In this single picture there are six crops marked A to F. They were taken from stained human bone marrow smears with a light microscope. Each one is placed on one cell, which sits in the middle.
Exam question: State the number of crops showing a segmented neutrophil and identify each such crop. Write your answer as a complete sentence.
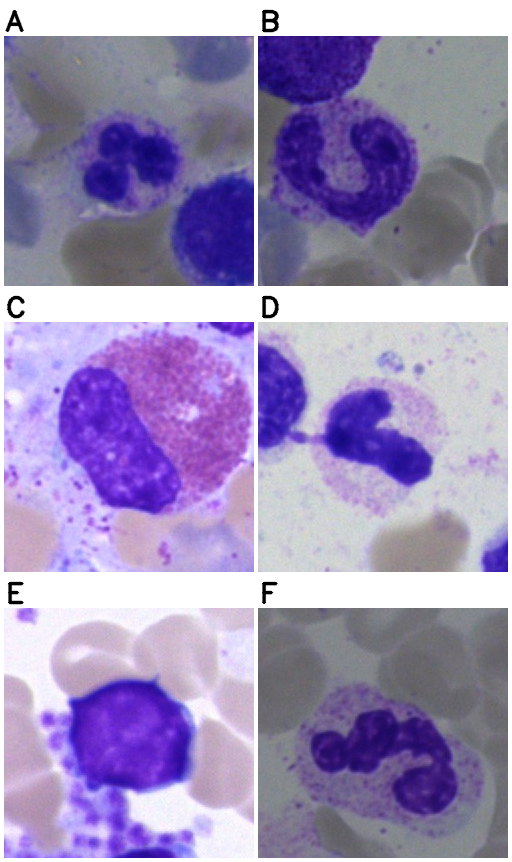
Under the heading of segmented neutrophils fall three crops, A, D and F.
